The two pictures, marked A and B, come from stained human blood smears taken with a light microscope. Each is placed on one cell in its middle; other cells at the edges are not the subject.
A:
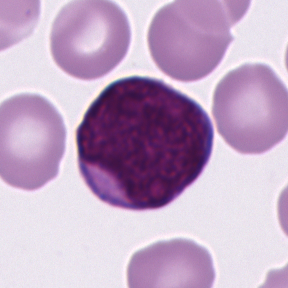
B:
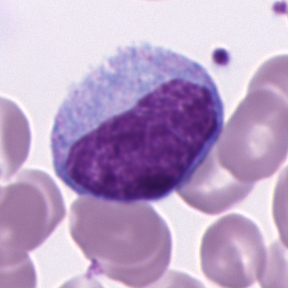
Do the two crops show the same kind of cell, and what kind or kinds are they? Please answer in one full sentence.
No, crop A has a myeloblast in the middle, and crop B has a monocyte.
